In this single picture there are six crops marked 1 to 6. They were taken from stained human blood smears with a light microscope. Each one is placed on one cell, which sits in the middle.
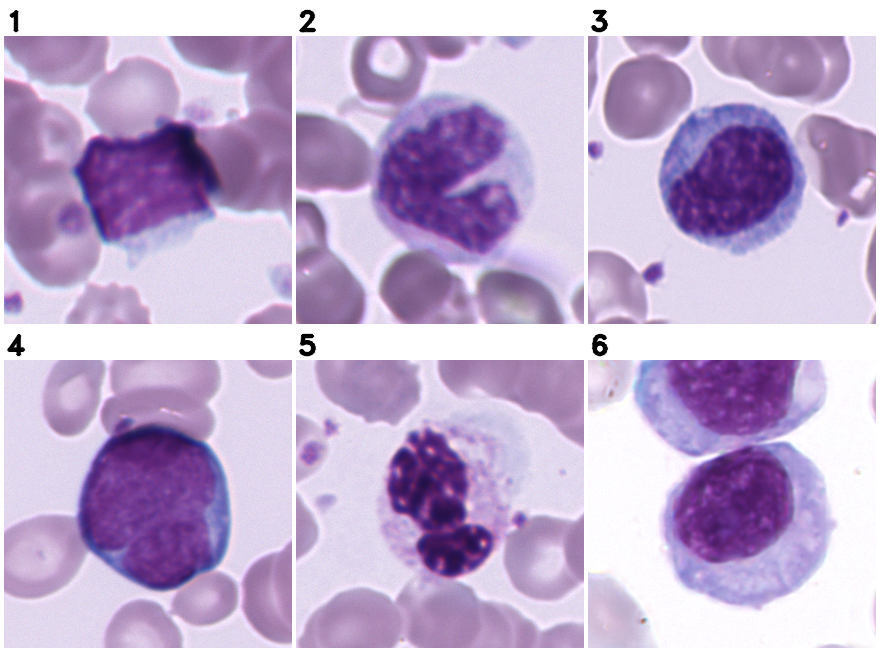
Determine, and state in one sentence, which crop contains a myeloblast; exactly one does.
The crop marked 4 is the one in which a myeloblast is shown.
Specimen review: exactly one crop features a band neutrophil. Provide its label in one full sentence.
It is crop 2 that shows a band neutrophil.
